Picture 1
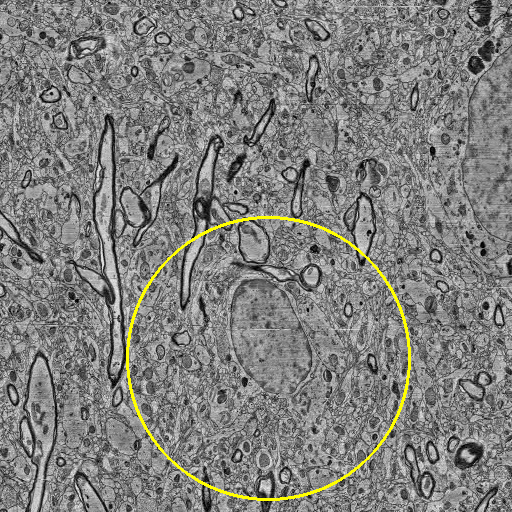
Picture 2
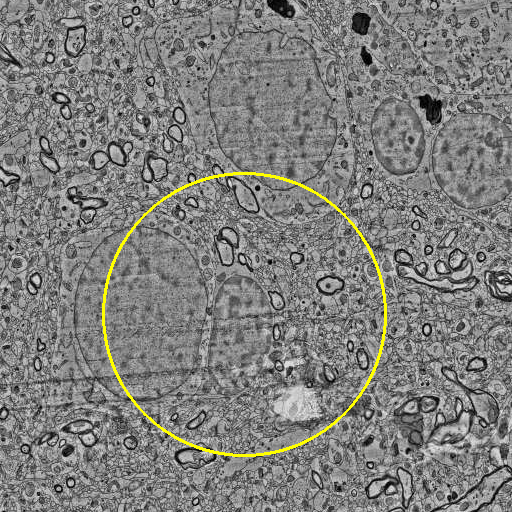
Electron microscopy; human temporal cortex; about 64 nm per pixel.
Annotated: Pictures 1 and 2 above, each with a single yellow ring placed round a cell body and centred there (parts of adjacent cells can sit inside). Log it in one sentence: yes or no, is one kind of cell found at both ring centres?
No, the ring centres of the two pictures hold cells of two kinds.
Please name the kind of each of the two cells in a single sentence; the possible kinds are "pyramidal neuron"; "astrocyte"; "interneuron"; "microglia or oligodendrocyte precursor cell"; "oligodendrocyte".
In the first picture the ring is centred on a microglial cell or oligodendrocyte precursor cell, and in the second on an oligodendrocyte.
